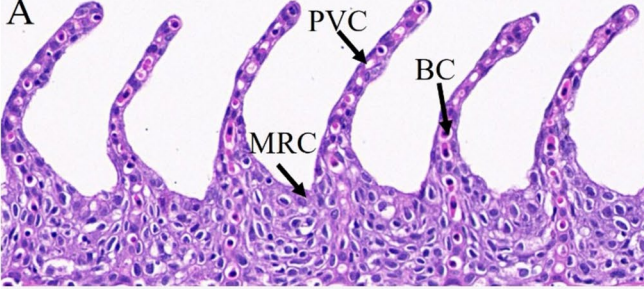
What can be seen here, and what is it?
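This is gill tissue: a row of slender lamellae rises from a thick, cell-rich base of the filament. Each lamella is covered by a thin layer of flattened lining cells with dark, elongated nuclei, and its core holds channels containing small red-stained blood cells. The base between the lamellae is packed with many rounded cells with pale cytoplasm and round nuclei. The lamellae are evenly spaced, of similar length, and their lining lies smoothly against the core.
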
